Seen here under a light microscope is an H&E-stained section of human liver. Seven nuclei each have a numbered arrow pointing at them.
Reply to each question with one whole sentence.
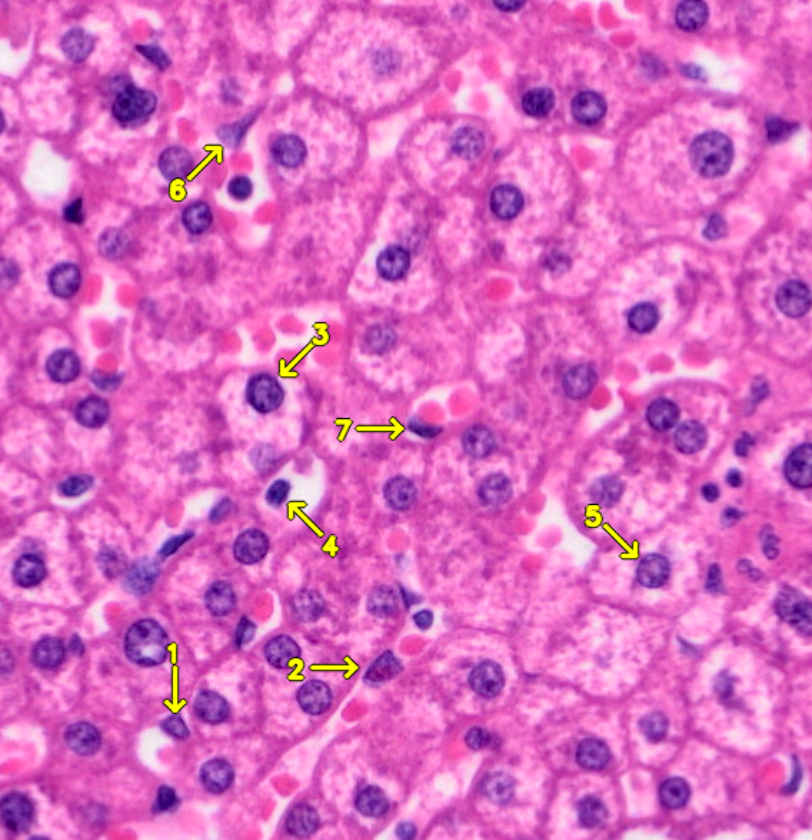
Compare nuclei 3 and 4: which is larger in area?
Nucleus 3 is larger, with an area about 2.5 times that of nucleus 4.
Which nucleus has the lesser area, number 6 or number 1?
With nucleus 6 about 1.5 times its size, nucleus 1 is the smaller of the two.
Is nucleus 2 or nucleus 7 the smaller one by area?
It is nucleus 7; nucleus 2 has about 2 times its area.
